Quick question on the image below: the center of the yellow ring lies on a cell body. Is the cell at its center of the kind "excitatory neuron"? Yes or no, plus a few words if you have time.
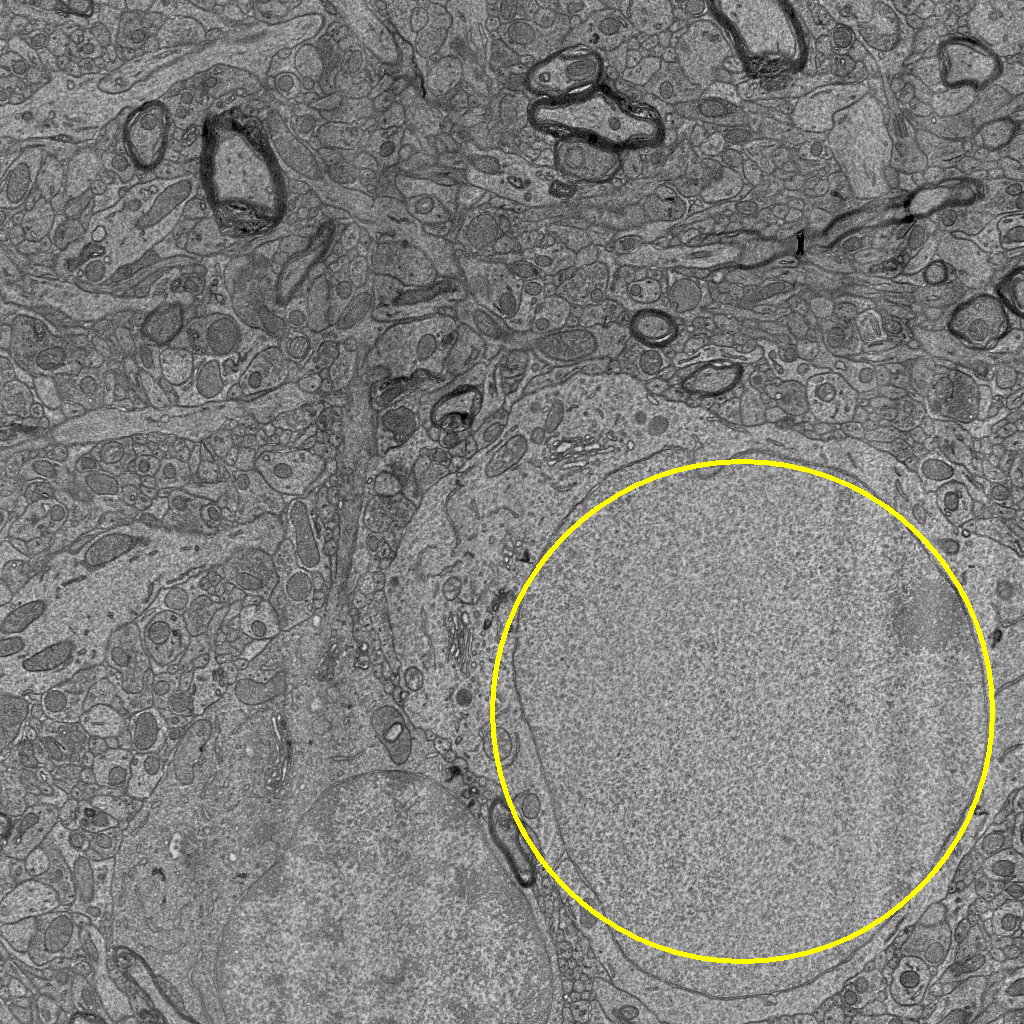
Yes, the cell at the center is of that kind.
